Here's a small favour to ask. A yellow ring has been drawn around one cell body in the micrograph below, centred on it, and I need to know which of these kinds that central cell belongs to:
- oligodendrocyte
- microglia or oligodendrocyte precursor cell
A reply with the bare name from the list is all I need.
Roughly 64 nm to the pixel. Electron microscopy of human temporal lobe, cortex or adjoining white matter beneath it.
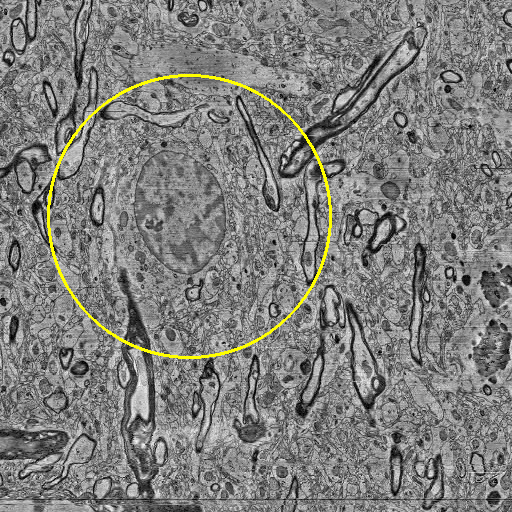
oligodendrocyte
